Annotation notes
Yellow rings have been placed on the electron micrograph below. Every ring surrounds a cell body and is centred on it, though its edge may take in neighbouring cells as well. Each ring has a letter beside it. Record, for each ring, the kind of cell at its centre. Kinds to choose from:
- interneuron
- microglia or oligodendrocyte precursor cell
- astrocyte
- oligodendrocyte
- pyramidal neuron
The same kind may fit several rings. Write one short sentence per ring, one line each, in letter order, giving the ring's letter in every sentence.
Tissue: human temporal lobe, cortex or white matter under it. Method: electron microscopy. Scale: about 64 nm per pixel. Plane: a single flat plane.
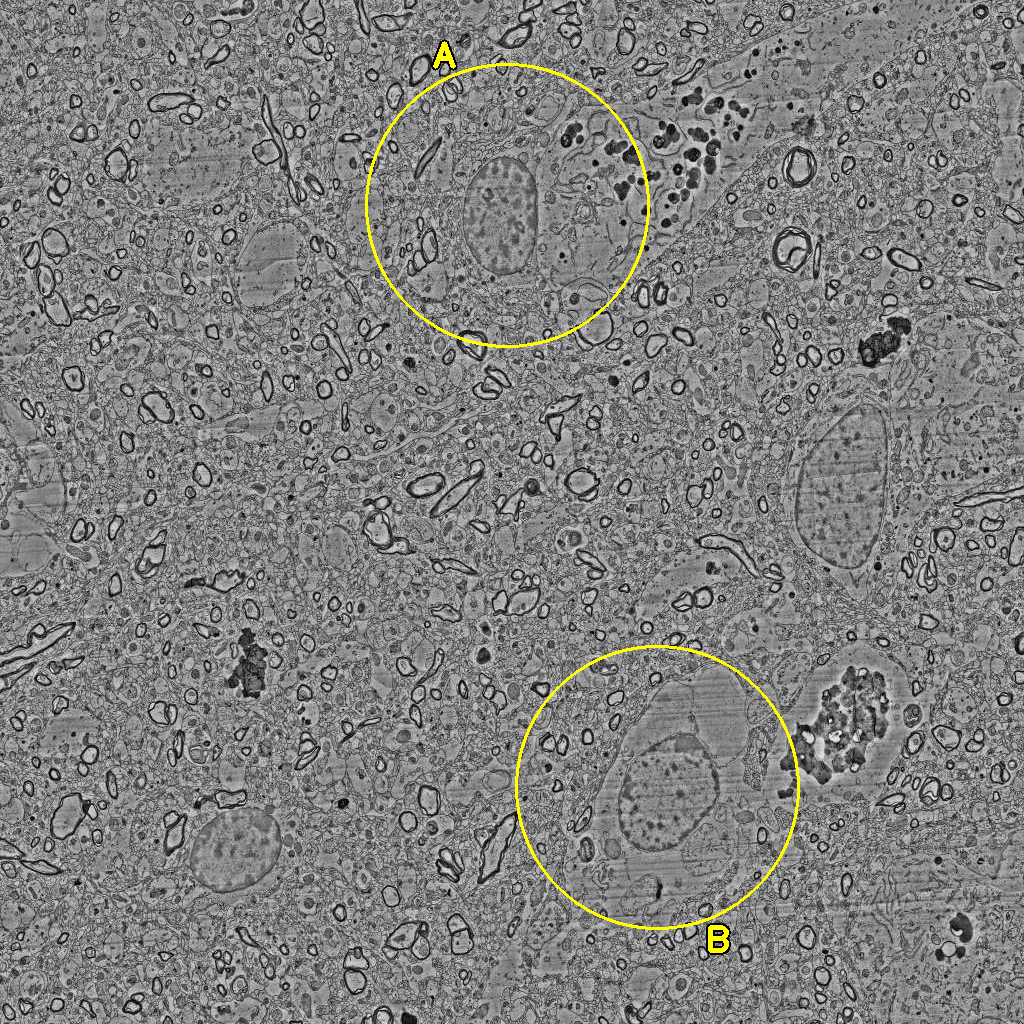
Ring A surrounds an oligodendrocyte.
Ring B surrounds an astrocyte.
